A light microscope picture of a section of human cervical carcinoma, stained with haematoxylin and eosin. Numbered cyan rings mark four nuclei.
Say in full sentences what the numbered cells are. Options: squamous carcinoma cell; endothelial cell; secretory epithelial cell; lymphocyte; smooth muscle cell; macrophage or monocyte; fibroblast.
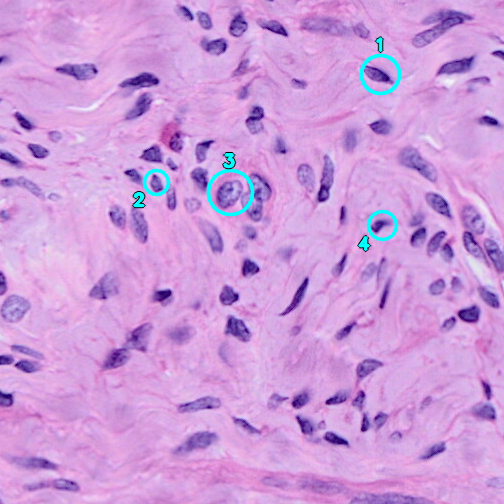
Cells 1, 2 and 4 are fibroblasts. Cell 3 is an endothelial cell.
